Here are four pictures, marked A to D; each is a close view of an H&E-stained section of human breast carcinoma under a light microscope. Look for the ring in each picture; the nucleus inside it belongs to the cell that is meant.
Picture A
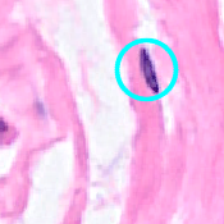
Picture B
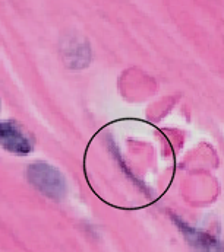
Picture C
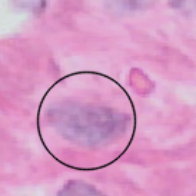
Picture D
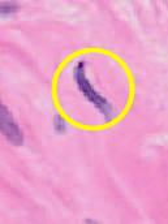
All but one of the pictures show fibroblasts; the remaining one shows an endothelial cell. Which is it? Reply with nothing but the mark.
B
